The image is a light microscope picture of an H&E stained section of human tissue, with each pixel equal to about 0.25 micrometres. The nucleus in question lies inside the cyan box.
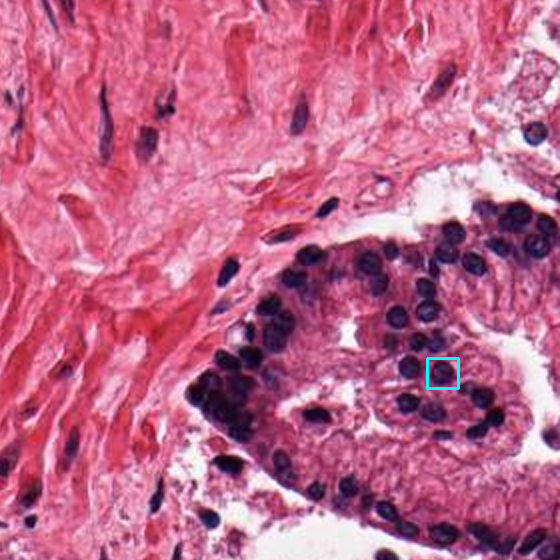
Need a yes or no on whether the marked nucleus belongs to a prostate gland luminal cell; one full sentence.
Yes, the nucleus indicated by the marking belongs to a prostate gland luminal cell.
